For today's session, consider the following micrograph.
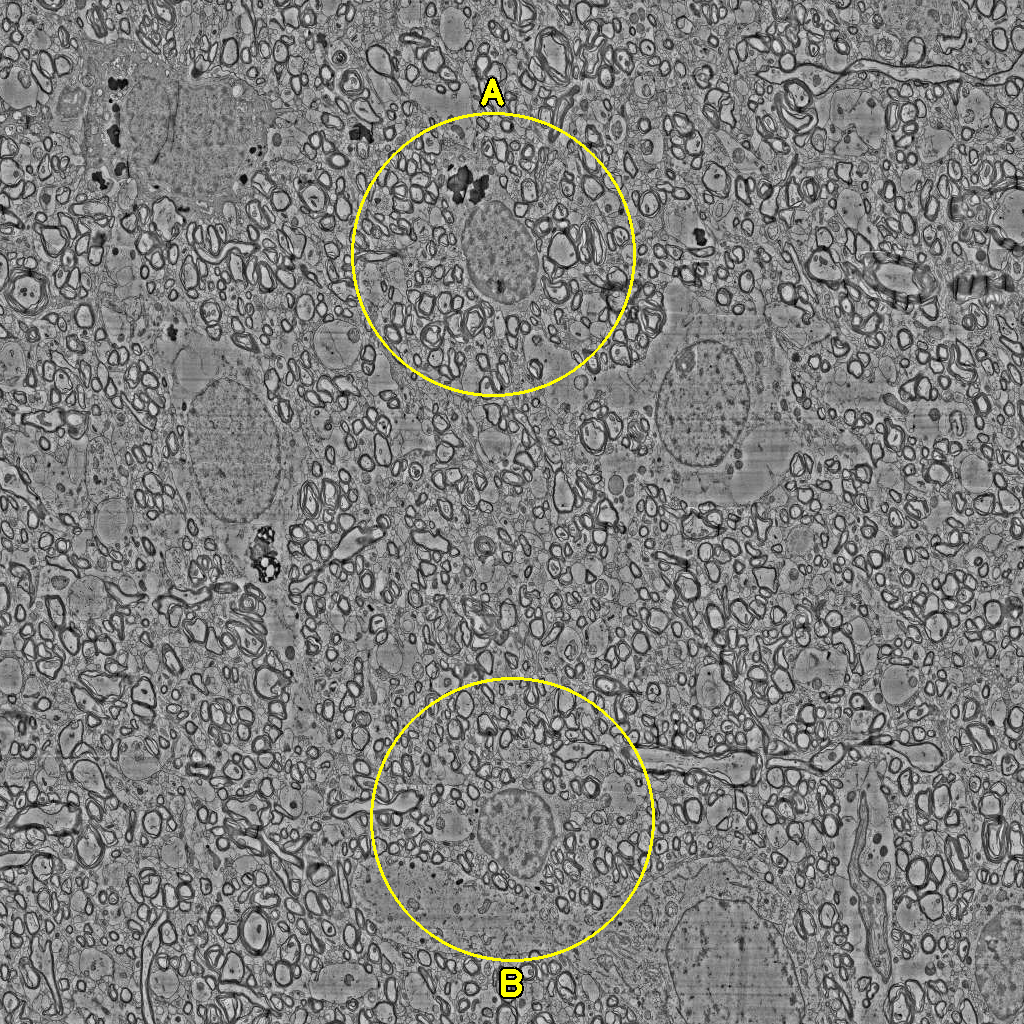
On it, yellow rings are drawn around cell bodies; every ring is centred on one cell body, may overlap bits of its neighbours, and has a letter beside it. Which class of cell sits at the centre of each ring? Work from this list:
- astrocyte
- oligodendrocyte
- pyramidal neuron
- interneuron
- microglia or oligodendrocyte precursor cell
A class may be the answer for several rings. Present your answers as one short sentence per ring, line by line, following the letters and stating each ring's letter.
Ring A centres on an oligodendrocyte.
Ring B centres on an oligodendrocyte.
